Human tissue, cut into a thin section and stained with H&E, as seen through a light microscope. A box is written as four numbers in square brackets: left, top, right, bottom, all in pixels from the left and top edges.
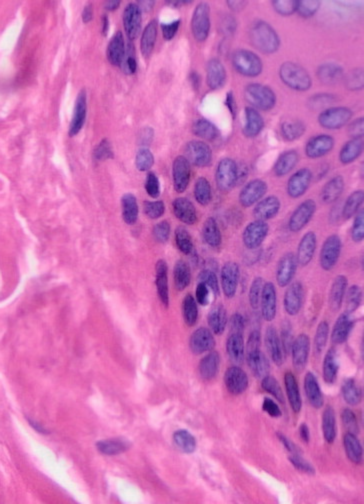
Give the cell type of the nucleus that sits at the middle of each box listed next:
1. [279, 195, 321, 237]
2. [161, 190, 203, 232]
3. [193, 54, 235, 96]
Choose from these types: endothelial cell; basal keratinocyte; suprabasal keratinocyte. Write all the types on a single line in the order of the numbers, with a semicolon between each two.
suprabasal keratinocyte; basal keratinocyte; basal keratinocyte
